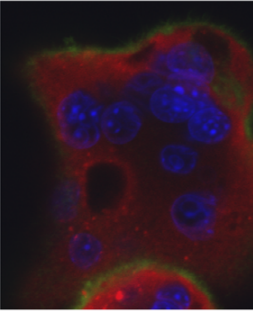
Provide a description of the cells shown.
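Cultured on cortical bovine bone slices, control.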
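These are osteoclasts, large multinucleated cells, viewed at the level of their nuclei. A thin, faint green rim follows the cell margin. Part of a neighbouring cell appears at the bottom edge.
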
